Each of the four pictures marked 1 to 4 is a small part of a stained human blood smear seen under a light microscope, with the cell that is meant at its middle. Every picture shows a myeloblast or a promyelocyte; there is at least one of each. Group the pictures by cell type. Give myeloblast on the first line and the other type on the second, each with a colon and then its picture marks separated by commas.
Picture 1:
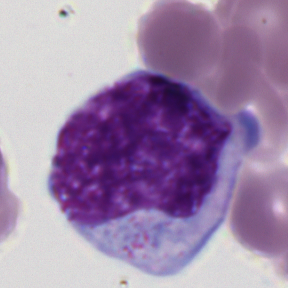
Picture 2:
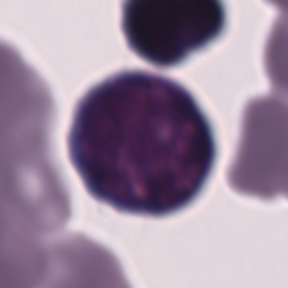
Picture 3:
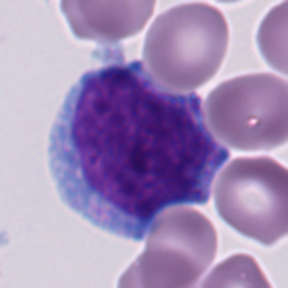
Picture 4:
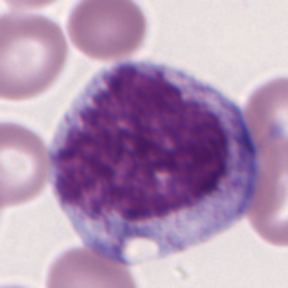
myeloblast: 2
promyelocyte: 1, 3, 4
